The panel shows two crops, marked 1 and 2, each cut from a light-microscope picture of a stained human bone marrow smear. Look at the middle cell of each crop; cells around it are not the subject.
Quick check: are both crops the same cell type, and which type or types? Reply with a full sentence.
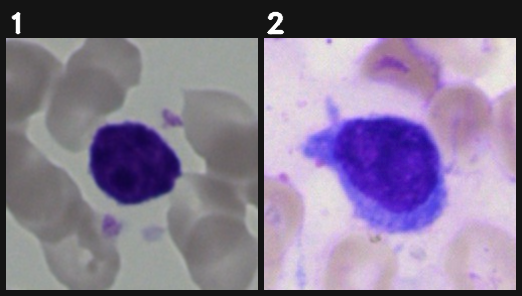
Yes, both crops show lymphocytes, the one and the other.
